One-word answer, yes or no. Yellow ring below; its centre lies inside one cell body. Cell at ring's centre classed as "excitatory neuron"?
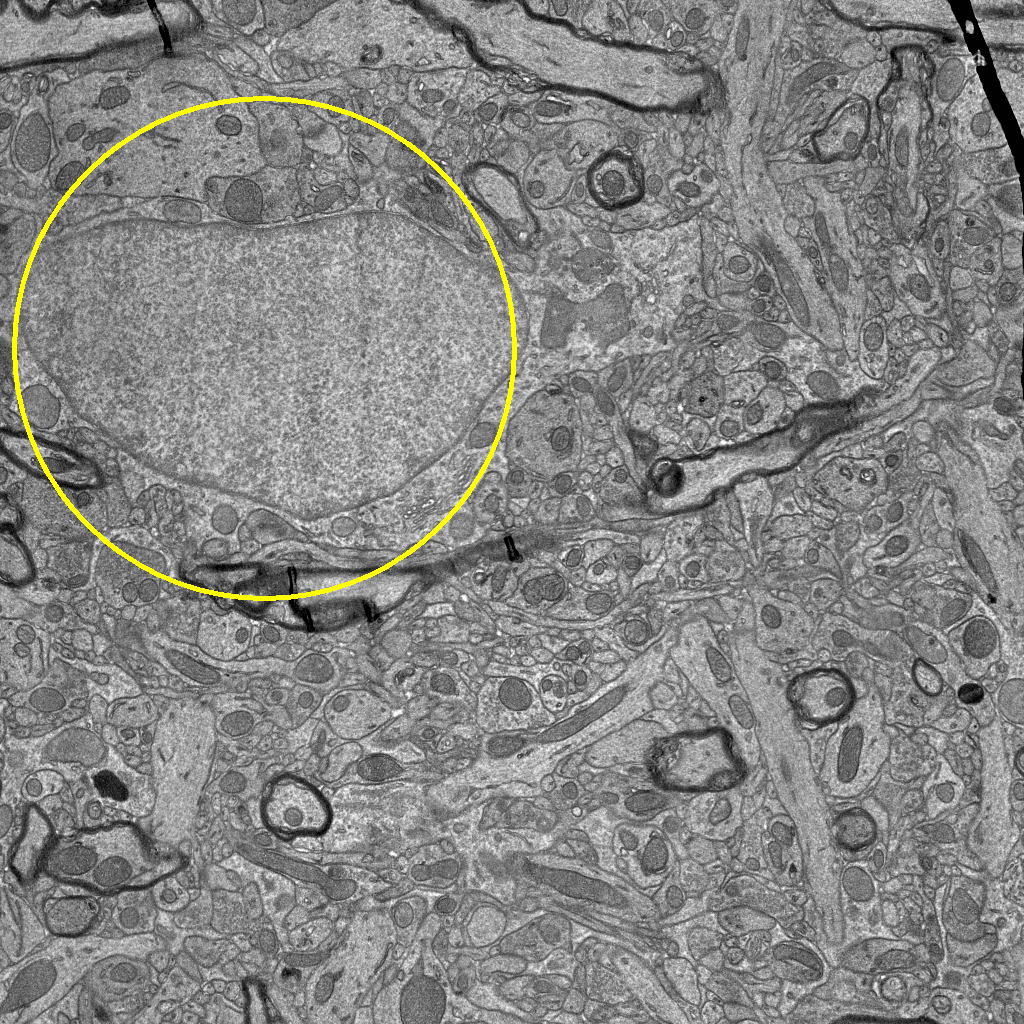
no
